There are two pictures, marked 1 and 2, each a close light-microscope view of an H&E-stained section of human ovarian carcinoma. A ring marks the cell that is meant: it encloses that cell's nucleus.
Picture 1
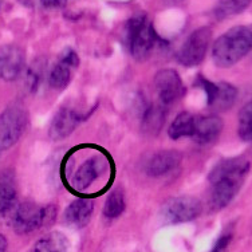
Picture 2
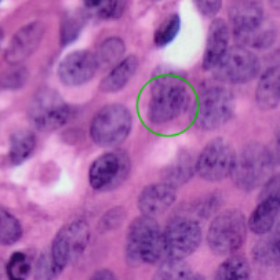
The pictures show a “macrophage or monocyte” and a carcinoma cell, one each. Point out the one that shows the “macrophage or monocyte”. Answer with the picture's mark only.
1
